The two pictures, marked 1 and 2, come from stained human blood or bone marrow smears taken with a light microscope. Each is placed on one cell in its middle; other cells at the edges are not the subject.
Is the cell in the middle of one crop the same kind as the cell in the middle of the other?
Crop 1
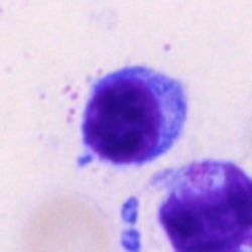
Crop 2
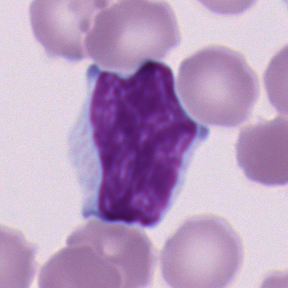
yes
